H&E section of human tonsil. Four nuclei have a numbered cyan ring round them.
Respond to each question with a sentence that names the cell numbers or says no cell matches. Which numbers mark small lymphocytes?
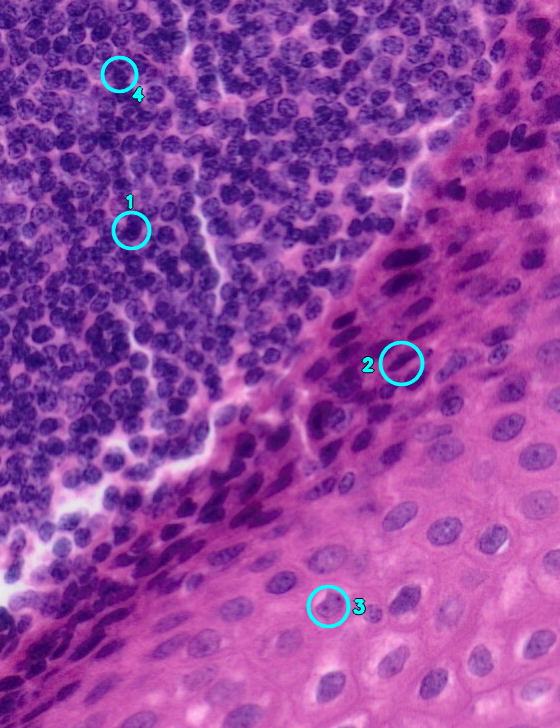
Here, the cells that carry numbers 1 and 4 are small lymphocytes.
